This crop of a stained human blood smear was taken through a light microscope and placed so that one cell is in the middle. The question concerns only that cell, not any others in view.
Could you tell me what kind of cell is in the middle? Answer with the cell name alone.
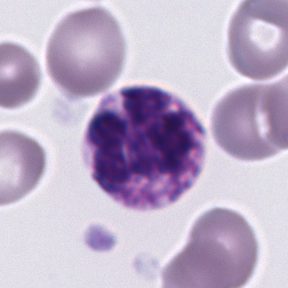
basophil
